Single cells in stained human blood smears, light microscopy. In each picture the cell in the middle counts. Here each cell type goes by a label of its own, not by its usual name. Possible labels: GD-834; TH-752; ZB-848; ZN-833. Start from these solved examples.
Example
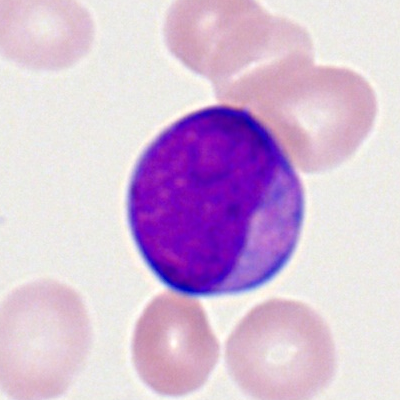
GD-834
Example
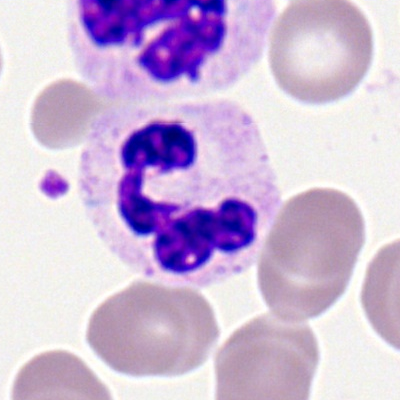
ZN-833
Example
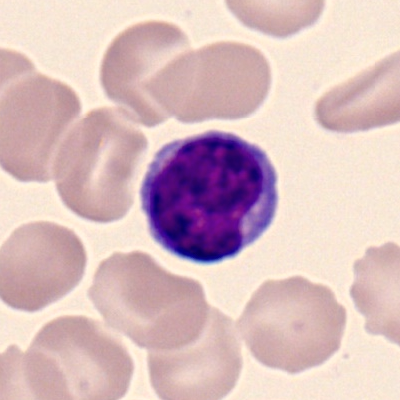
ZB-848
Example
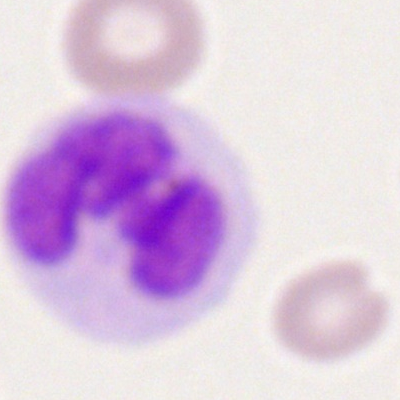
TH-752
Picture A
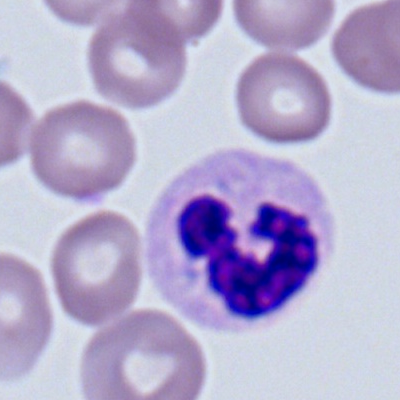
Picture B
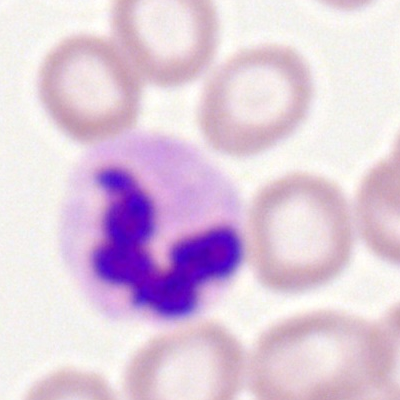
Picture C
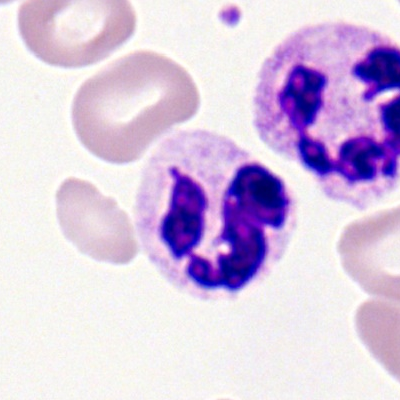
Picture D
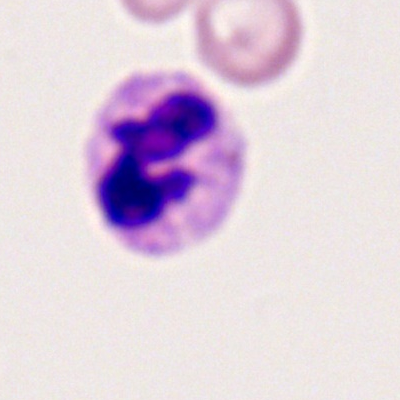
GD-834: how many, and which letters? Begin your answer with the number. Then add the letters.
0, none of them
